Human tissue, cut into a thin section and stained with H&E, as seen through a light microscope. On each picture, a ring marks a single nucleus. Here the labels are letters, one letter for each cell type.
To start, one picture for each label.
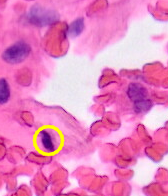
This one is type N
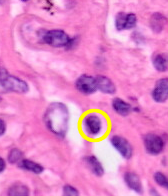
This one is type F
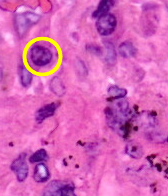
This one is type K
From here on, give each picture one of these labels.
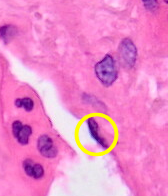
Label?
type N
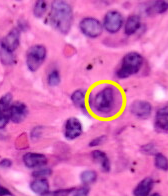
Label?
type K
